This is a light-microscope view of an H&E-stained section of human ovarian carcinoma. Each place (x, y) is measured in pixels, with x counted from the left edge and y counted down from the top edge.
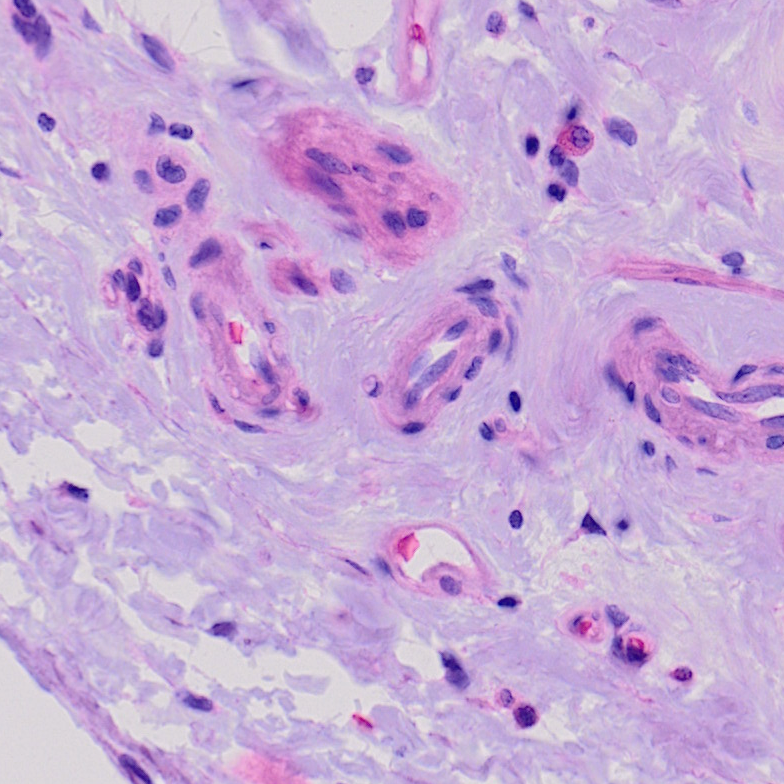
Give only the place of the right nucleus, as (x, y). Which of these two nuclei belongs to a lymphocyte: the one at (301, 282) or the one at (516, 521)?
(516, 521)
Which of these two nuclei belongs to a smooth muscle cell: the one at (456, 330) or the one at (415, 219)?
(415, 219)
